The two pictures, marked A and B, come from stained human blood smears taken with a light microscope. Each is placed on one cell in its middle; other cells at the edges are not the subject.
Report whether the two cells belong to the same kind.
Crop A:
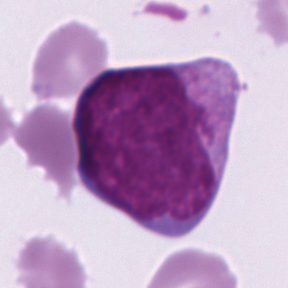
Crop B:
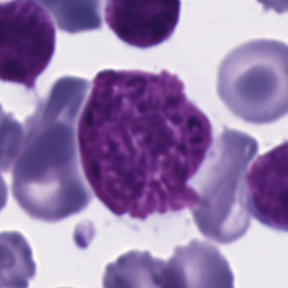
no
